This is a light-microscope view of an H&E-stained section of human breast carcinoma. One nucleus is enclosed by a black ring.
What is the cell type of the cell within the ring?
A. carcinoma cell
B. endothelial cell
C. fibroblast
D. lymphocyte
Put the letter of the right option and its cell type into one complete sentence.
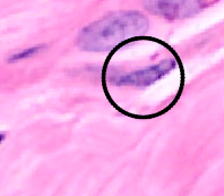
Of the options given, B is right: the cell within the ring is an endothelial cell.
